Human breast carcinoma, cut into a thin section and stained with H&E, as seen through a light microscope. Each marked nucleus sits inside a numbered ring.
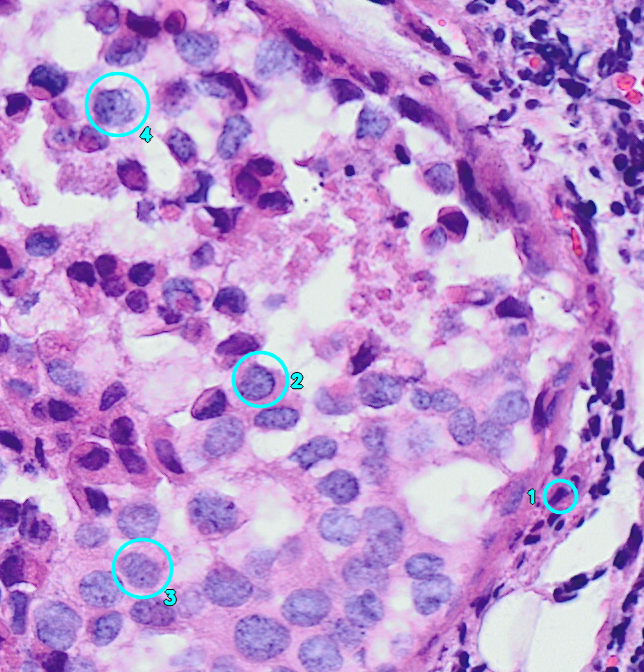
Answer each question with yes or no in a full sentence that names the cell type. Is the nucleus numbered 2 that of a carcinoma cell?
Yes, the marked cell with number 2 is a carcinoma cell.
